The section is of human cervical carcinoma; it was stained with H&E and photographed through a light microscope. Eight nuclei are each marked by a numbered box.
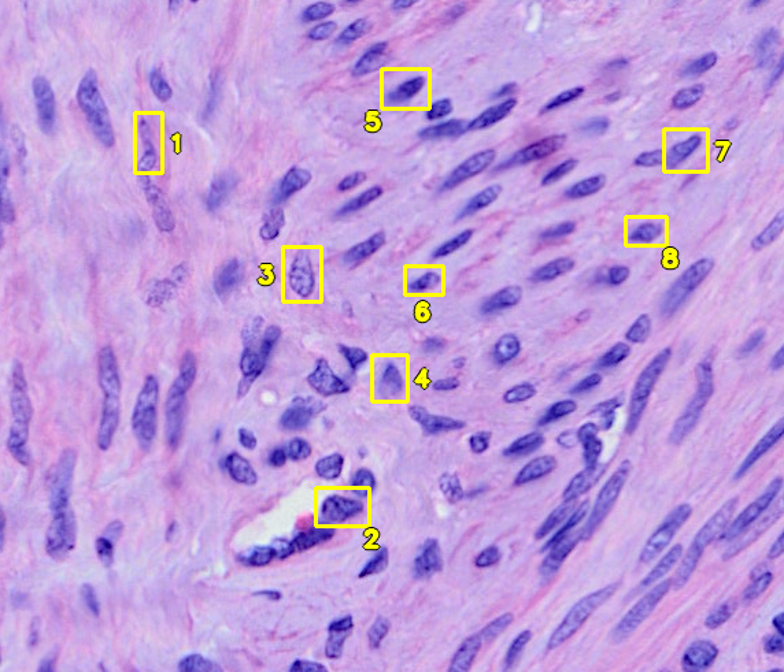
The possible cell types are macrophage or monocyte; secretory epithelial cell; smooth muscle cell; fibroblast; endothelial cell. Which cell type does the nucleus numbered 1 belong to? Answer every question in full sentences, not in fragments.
Cell 1 in the field of view is a smooth muscle cell.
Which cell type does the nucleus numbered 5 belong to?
Here the cell numbered 5 is a fibroblast.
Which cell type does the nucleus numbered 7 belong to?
Identified as a smooth muscle cell is the cell bearing the number 7.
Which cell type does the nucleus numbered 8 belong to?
Cell 8, among those numbered, is a smooth muscle cell.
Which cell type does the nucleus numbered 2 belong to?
Among the marked cells, number 2 is an endothelial cell.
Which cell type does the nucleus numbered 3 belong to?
Cell 3, as marked in the section, is a smooth muscle cell.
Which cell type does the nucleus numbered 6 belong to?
Among the marked cells, number 6 is a smooth muscle cell.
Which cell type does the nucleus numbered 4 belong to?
The cell referred to as 4 is a fibroblast.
